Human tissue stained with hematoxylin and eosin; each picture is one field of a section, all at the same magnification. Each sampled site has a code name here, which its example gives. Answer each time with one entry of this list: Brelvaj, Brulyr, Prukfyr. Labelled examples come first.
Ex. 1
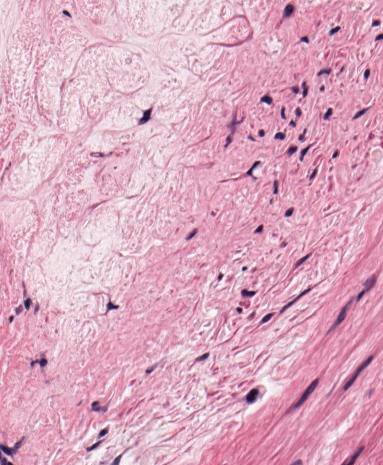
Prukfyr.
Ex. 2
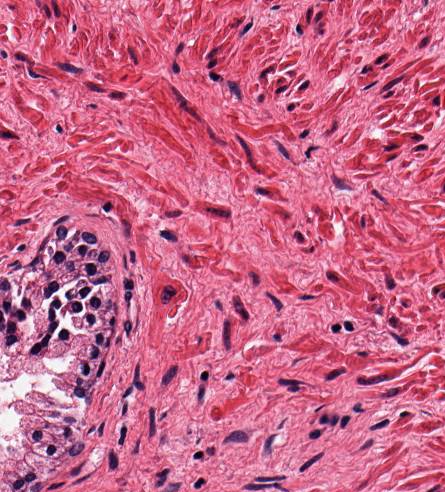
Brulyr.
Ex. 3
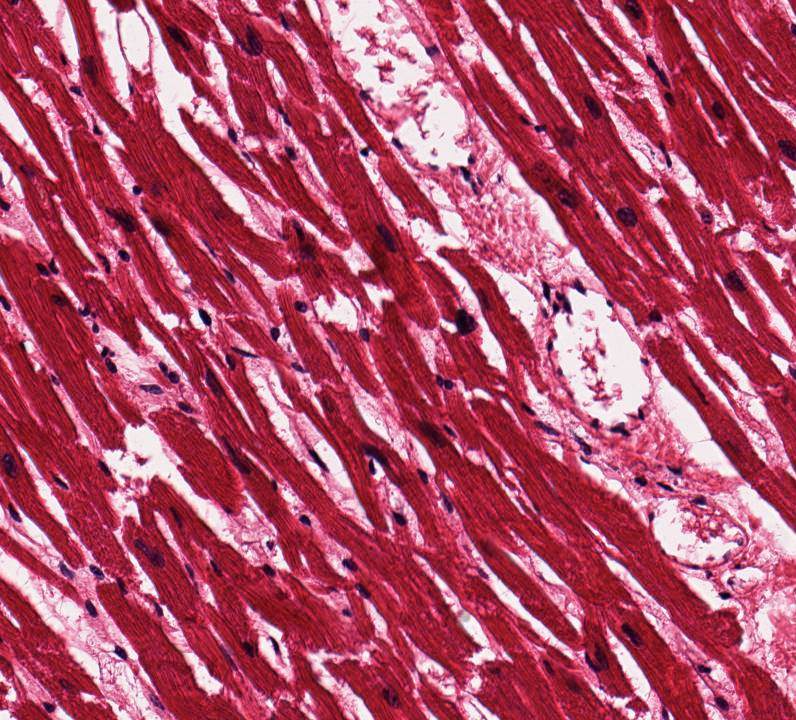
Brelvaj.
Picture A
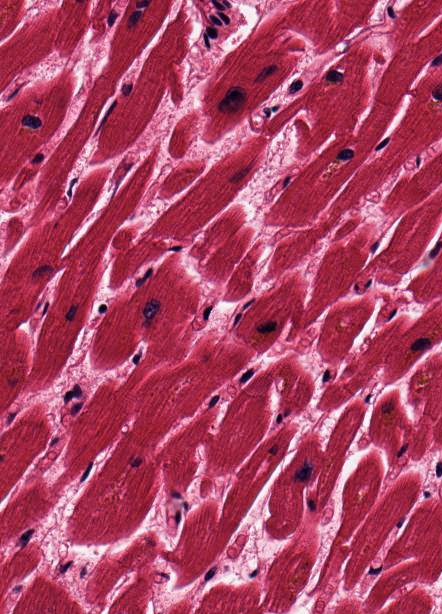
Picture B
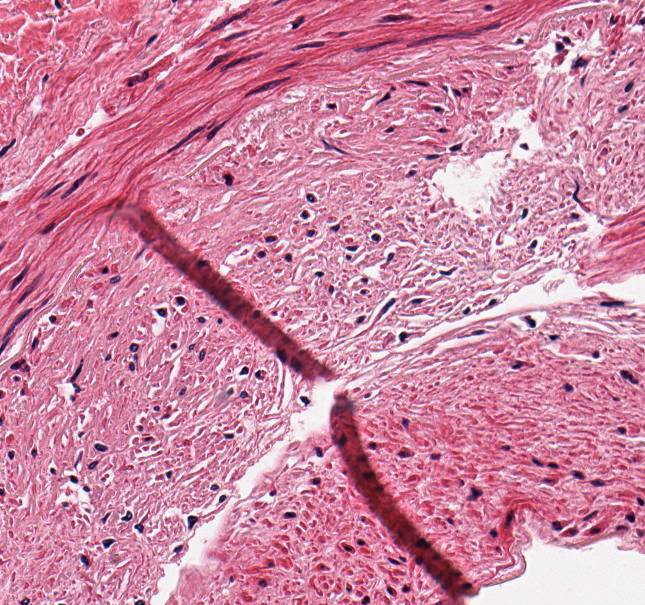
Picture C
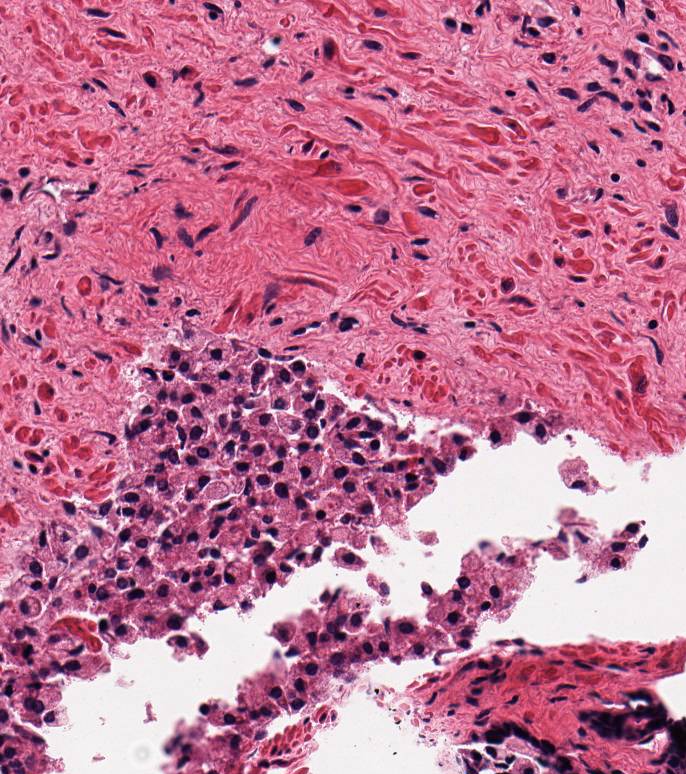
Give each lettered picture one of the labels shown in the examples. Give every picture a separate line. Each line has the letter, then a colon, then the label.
A: Brelvaj.
B: Prukfyr.
C: Brulyr.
